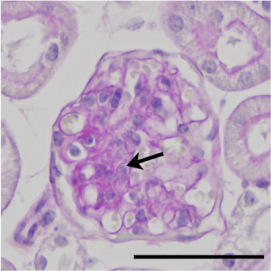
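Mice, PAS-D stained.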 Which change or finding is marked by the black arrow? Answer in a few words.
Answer: Mesangial expansion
